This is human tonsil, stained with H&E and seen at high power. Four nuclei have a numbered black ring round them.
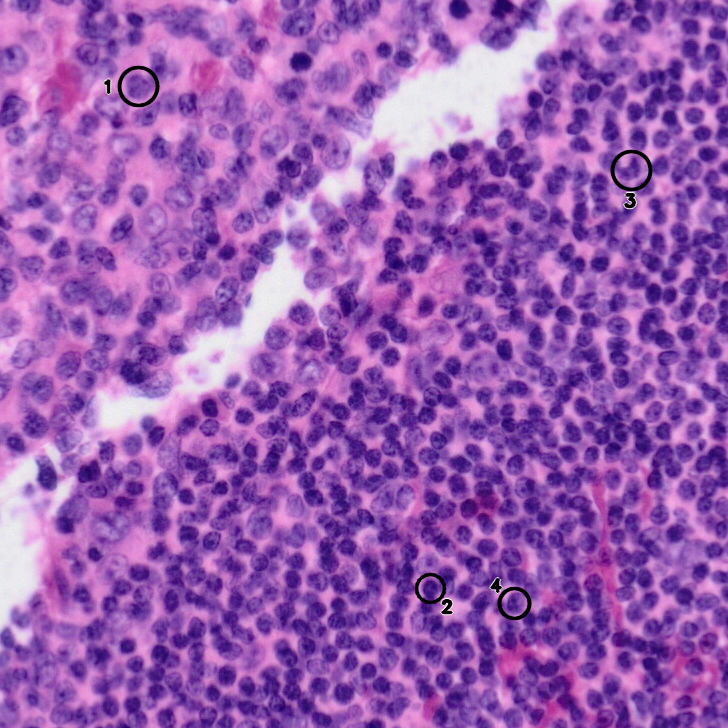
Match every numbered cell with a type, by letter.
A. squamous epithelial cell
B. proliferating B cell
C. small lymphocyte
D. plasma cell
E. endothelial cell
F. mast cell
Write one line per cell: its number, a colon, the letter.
1: B
2: C
3: C
4: C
